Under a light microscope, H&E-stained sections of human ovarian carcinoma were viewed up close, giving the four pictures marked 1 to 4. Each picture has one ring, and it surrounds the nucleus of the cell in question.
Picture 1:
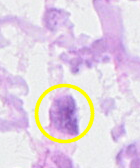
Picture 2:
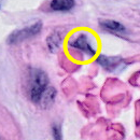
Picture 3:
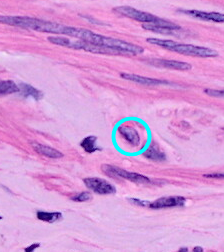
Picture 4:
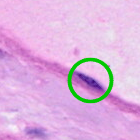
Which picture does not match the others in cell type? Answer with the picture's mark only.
1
